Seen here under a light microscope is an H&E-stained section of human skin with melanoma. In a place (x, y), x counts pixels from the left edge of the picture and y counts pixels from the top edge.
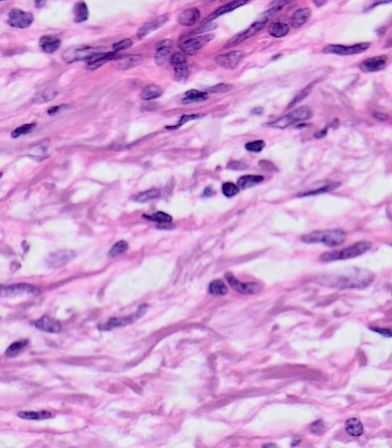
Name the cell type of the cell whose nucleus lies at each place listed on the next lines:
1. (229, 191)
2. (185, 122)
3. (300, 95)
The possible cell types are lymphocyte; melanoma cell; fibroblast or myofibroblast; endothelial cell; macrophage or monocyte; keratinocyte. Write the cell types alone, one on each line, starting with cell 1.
lymphocyte
fibroblast or myofibroblast
fibroblast or myofibroblast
